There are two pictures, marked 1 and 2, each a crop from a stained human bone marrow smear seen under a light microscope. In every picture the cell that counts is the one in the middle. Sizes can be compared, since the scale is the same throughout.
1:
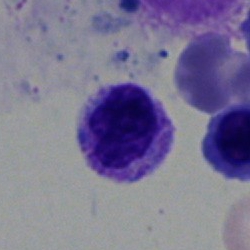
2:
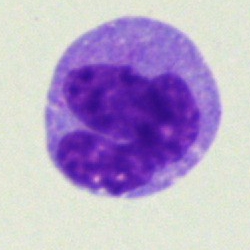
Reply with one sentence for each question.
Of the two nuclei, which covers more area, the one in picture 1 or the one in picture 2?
Larger is the nucleus in picture 2, at roughly 3 times the area of the other.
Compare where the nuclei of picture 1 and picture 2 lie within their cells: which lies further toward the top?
In picture 1 the nucleus is shifted more toward the top.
